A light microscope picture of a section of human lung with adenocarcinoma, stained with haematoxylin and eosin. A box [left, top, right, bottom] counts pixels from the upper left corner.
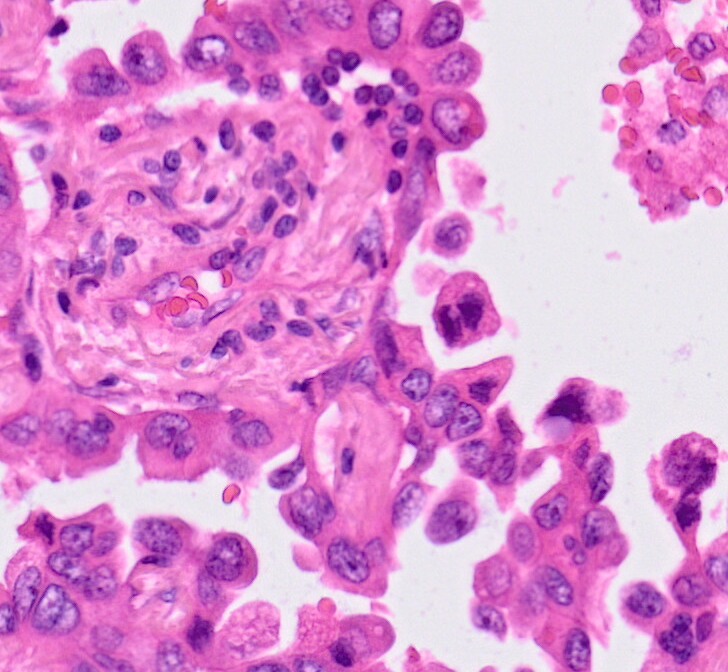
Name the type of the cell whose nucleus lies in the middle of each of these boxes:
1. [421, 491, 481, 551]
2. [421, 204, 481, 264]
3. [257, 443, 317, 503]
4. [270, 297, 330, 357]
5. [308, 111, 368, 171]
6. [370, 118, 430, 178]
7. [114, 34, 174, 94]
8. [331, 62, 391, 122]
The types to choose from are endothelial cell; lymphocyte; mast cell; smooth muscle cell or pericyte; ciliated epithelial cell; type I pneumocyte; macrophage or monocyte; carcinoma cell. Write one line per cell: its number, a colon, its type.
1: carcinoma cell
2: carcinoma cell
3: carcinoma cell
4: lymphocyte
5: lymphocyte
6: lymphocyte
7: carcinoma cell
8: lymphocyte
